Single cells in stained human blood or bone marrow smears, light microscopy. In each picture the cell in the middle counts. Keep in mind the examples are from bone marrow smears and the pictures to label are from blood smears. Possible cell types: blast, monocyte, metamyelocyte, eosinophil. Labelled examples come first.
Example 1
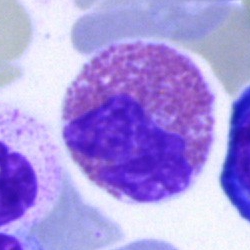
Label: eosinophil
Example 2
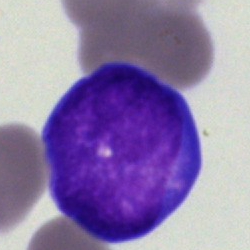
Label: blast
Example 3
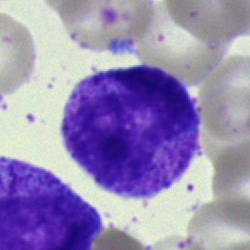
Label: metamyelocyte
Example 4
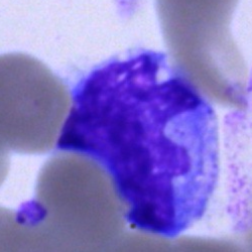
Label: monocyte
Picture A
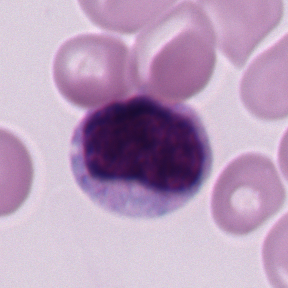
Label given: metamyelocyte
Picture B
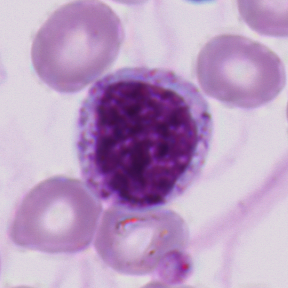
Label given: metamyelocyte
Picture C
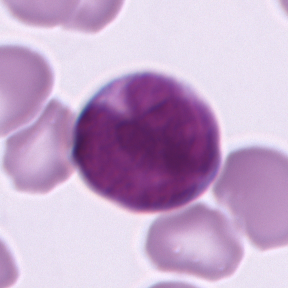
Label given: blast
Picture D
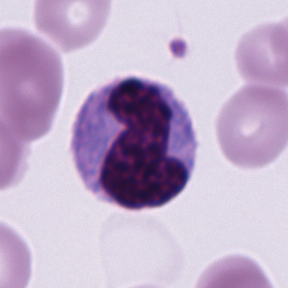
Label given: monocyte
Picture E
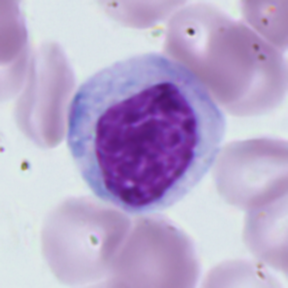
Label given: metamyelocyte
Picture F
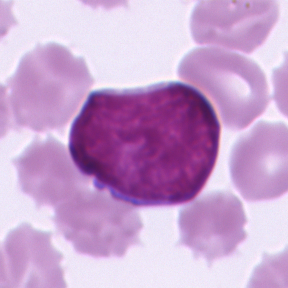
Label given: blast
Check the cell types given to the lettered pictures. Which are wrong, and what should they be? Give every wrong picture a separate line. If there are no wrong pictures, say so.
Nothing to fix; every label fits.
